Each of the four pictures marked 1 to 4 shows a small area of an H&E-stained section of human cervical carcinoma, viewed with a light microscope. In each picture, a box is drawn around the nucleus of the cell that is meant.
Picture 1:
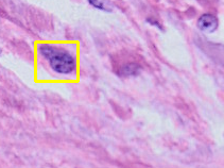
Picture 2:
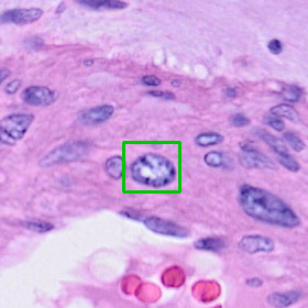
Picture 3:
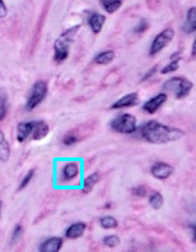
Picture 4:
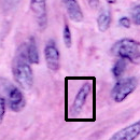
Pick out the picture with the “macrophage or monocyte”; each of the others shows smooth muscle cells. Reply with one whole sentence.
The picture with the “macrophage or monocyte” is 1.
